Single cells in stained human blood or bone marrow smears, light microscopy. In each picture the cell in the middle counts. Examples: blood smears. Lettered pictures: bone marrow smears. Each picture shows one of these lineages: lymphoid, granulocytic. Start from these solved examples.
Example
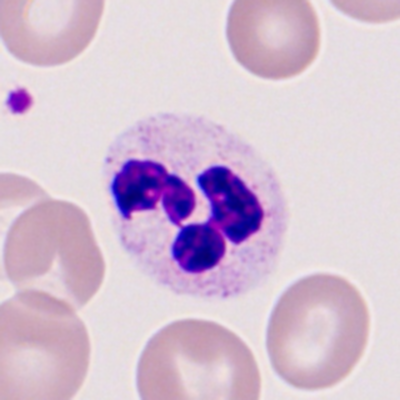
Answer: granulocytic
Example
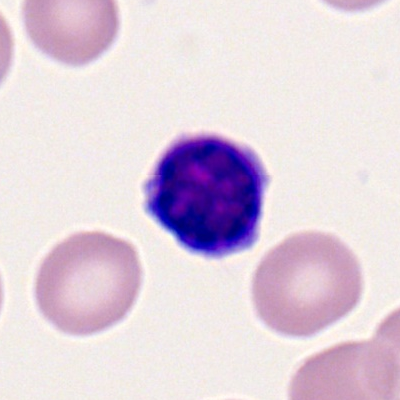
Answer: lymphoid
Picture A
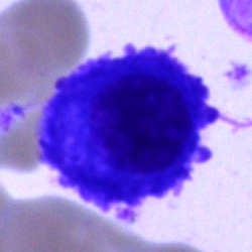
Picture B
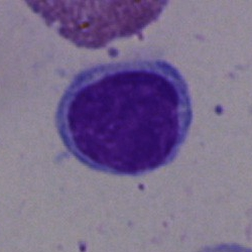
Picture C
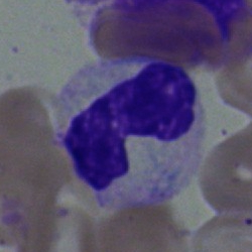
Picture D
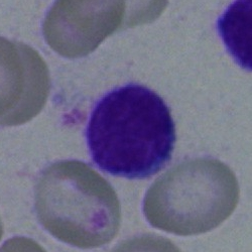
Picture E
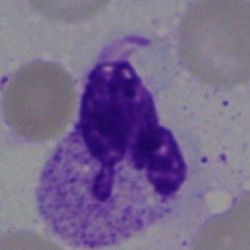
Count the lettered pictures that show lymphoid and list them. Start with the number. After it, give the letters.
3, namely A, B, D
